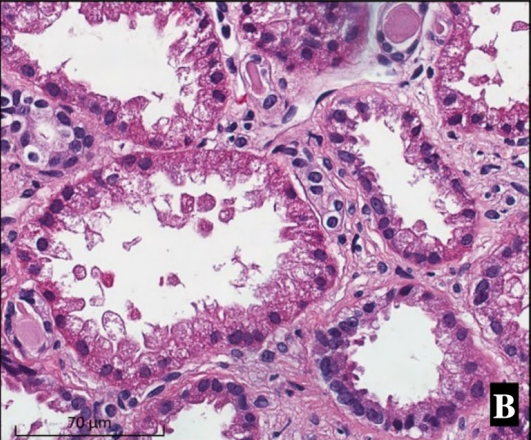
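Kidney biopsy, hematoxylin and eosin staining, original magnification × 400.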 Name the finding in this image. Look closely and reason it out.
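Tubular lumens are wide and contain detached cell fragments. The luminal border of the epithelium is ragged with blebs.
Acute tubular injury.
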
